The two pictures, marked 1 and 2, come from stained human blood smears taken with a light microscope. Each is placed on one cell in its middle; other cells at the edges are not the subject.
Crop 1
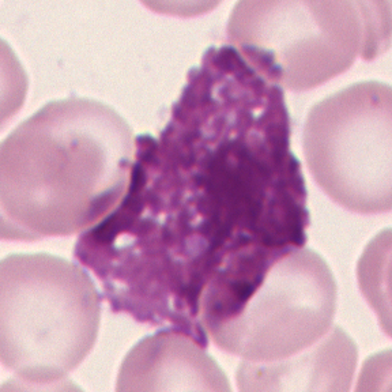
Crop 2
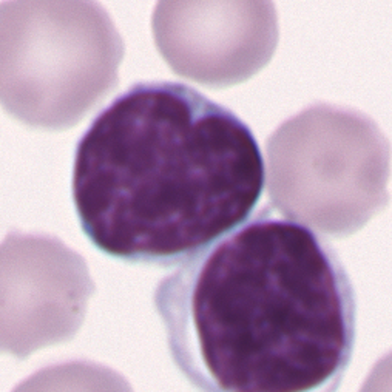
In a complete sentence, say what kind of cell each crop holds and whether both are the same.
No, crop 1 captures a smudge cell, and crop 2 captures a typical lymphocyte.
